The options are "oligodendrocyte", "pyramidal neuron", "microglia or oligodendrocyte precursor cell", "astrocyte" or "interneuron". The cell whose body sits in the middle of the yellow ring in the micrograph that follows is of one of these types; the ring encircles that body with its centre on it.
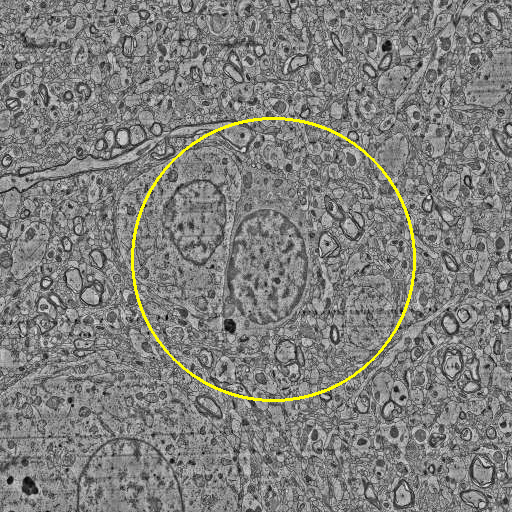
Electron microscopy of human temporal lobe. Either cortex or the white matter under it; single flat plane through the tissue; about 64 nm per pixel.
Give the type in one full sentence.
Going by the micrograph, the cell centred in the yellow ring is an oligodendrocyte.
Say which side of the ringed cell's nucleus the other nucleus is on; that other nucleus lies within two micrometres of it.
The second nucleus lies to the upper left of it.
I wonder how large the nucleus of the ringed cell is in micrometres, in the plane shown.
In this plane, the nucleus is roughly 7 by 5 micrometres.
